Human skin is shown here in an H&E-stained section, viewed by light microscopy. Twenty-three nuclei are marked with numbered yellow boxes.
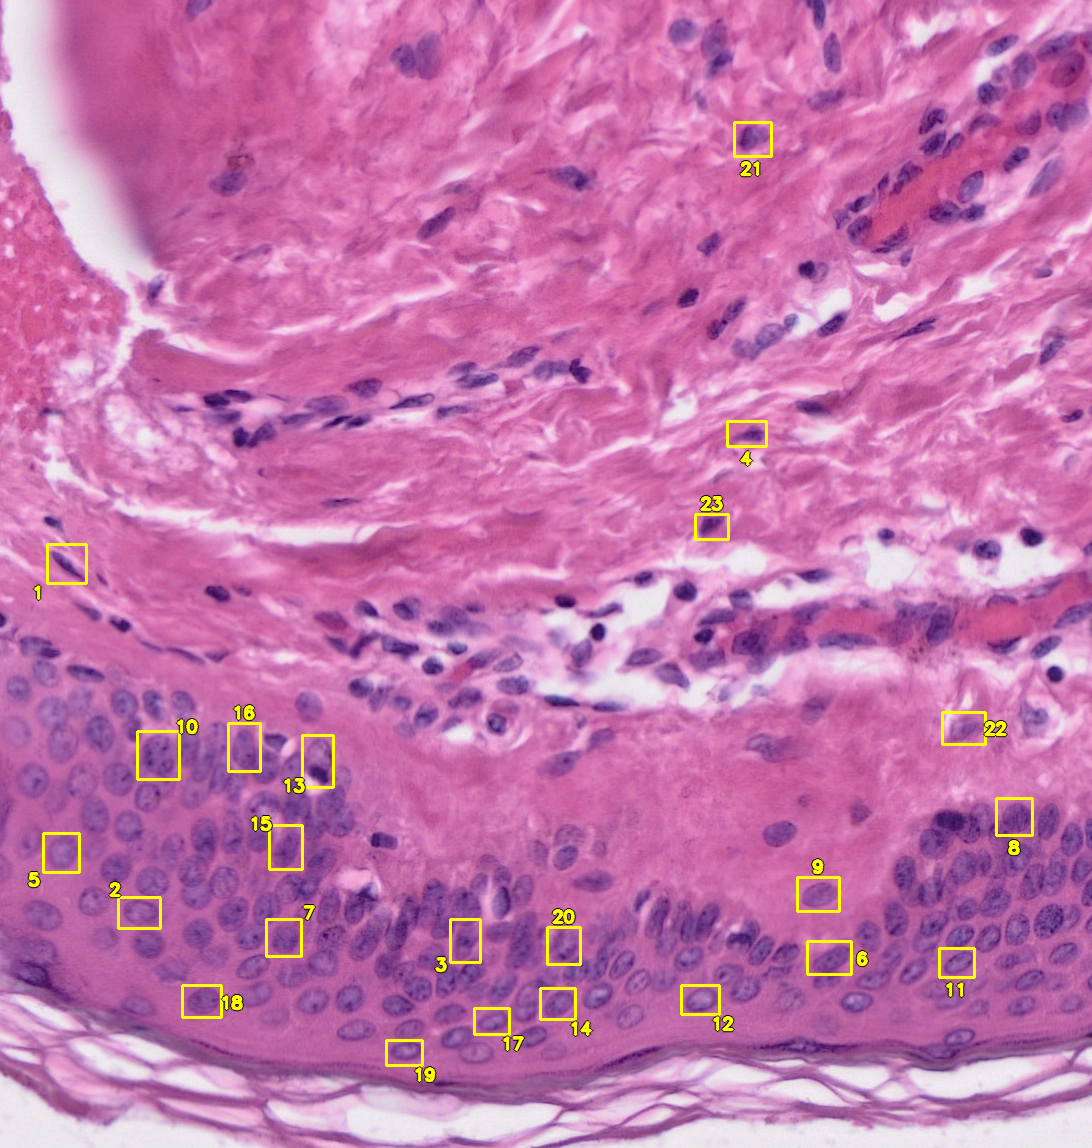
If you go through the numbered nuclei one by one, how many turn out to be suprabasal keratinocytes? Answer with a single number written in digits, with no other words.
9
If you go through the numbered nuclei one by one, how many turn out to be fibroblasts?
6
